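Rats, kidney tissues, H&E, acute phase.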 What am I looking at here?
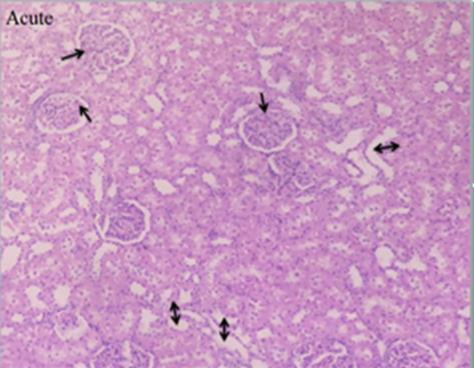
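This is renal cortex stained pink and purple, with several round glomeruli whose tufts are crowded with purple nuclei inside their capsules. The surrounding tubules are lined by pink cells, and some tubules have widened, elongated lumina with thin, flattened lining epithelium.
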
